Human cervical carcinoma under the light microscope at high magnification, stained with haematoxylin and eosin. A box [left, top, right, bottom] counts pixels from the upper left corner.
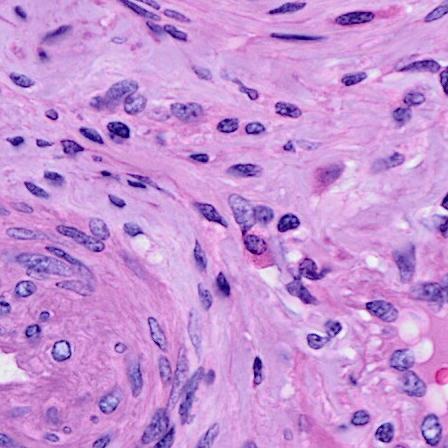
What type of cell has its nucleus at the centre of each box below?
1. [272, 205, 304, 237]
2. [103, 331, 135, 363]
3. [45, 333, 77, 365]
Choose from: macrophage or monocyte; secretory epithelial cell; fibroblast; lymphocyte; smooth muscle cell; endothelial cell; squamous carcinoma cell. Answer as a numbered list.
1. lymphocyte
2. smooth muscle cell
3. smooth muscle cell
